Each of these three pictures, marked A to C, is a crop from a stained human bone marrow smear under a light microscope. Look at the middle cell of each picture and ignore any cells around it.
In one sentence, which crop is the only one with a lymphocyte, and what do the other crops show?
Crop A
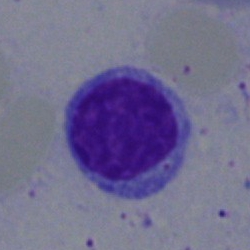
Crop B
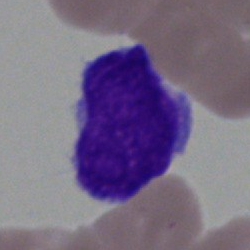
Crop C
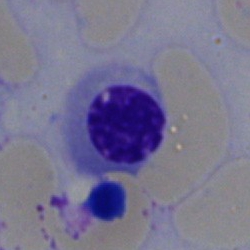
In crop A the central cell is a lymphocyte, while crop B is a blast and crop C is an erythroblast.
